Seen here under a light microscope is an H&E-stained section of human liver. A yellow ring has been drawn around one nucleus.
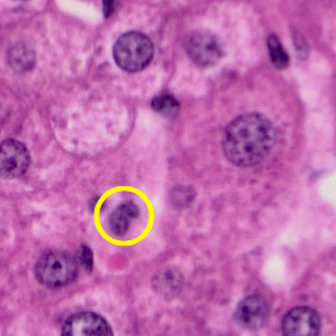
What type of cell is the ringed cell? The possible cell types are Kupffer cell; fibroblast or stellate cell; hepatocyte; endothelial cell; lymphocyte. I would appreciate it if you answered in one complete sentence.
The classification of the ringed cell is as a Kupffer cell.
